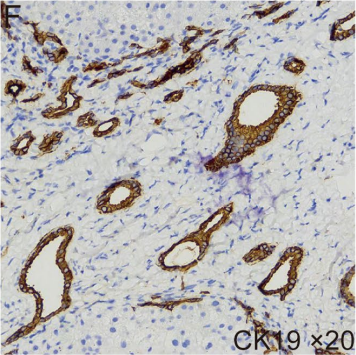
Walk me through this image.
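Liver fibrous stroma holding numerous irregular bile ducts whose lining cells stain brown, ranging from slit-like ductules to ducts with widened, dilated lumens. The pale blue stroma between them contains scattered spindle nuclei, and unstained hepatocytes lie at the upper and lower right margins.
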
